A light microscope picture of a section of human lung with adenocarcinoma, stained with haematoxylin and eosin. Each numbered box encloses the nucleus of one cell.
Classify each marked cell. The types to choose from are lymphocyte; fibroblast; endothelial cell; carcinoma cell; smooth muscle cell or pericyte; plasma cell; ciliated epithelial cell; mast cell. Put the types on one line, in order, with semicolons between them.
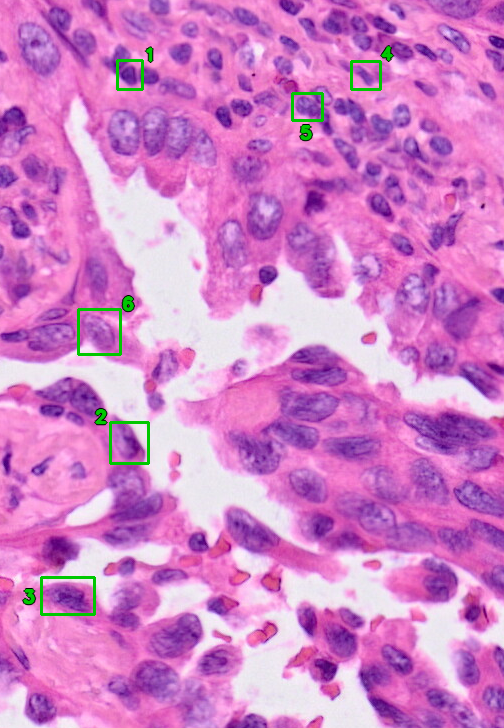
lymphocyte; carcinoma cell; carcinoma cell; lymphocyte; lymphocyte; carcinoma cell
